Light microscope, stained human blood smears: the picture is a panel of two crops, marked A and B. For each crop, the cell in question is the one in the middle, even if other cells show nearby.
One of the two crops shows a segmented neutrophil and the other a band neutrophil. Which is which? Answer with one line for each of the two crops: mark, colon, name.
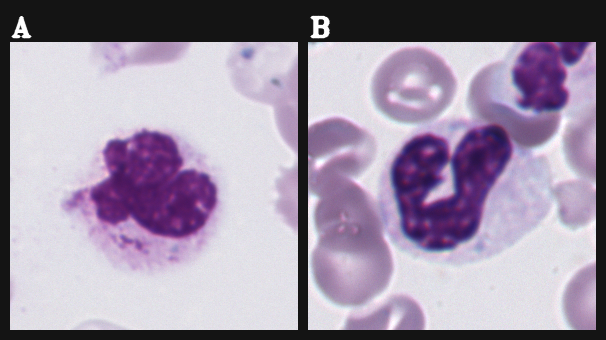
A: segmented neutrophil
B: band neutrophil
